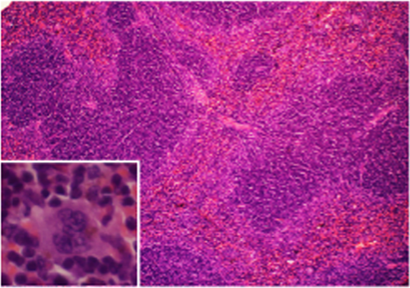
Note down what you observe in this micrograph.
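This section of spleen shows dense purple zones of white pulp alternating with redder zones of red pulp. The red pulp between these zones is lighter and speckled red, rich in red blood cells. The inset enlarges a megakaryocyte, a giant cell many times the size of its neighbours, with a large lobulated nucleus and abundant pale pink cytoplasm. It lies among small cells with dark nuclei.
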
